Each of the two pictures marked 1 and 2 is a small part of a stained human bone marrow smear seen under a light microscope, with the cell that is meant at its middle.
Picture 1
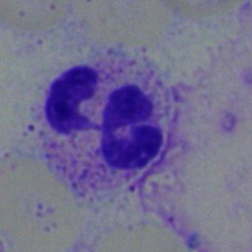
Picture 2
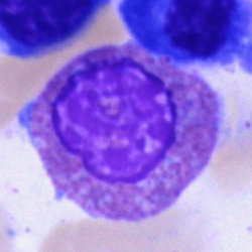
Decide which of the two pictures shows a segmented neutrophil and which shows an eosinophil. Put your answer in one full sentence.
Picture 2 shows an eosinophil, while picture 1 shows a segmented neutrophil.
